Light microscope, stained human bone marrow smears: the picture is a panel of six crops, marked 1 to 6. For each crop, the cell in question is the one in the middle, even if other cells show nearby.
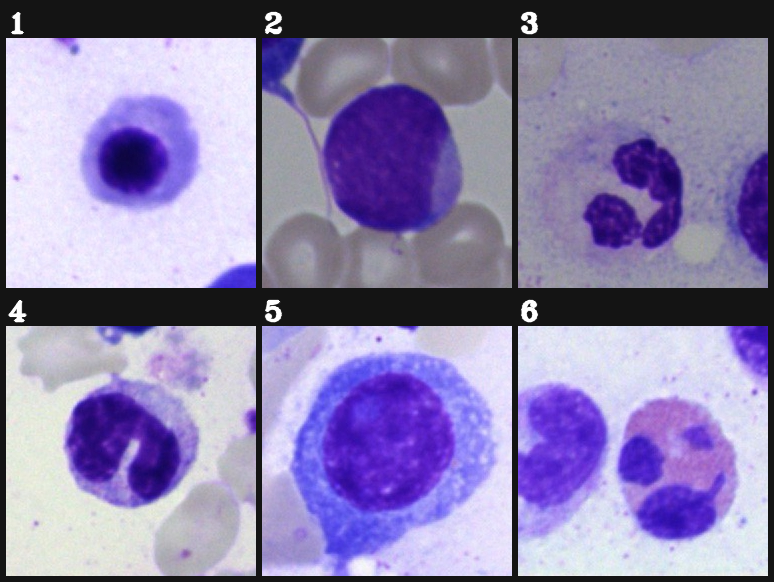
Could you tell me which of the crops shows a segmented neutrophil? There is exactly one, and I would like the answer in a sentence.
In the set of crops, crop 3 is the one that contains a segmented neutrophil.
